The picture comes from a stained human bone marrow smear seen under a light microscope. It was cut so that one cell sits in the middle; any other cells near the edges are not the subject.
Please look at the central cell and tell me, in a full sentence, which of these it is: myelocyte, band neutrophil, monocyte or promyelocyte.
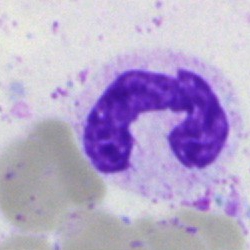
Centrally within this crop lies a band neutrophil.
